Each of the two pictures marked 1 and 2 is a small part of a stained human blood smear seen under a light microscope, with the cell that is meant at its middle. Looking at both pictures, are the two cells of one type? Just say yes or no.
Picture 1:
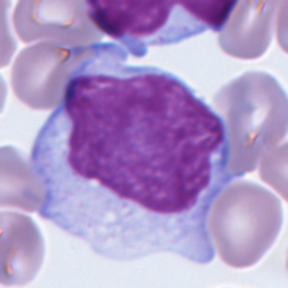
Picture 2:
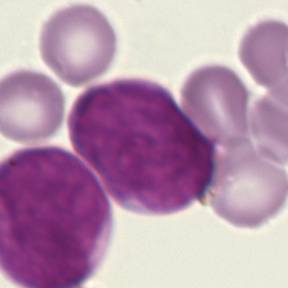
yes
